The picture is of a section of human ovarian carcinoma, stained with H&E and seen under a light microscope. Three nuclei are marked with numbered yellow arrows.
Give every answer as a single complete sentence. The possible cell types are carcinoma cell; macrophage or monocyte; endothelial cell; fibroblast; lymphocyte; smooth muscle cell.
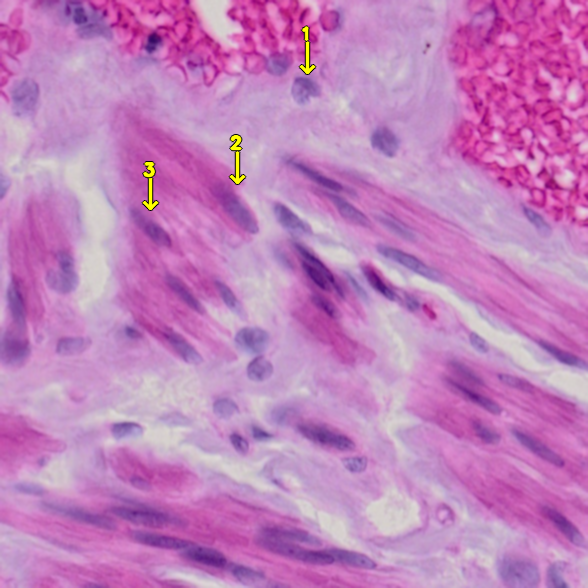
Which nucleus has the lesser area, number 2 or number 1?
It is nucleus 1; nucleus 2 has about 1.5 times its area.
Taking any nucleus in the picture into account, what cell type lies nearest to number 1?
The nearest nucleus to number 1 belongs to an endothelial cell.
